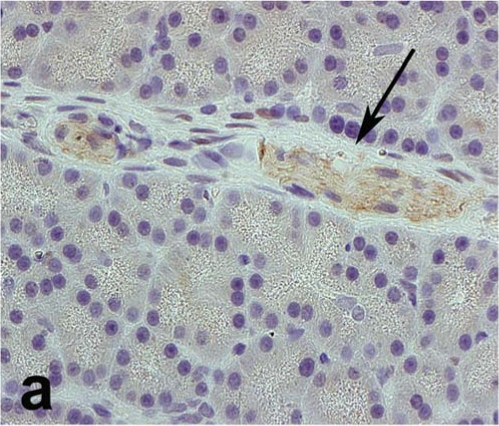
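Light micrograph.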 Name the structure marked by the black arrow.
Nerve fibers.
